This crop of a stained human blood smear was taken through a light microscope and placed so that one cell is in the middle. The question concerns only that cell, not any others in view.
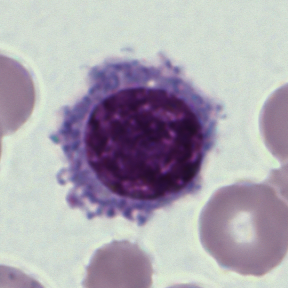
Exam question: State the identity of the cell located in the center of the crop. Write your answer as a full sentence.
The crop shows a plasma cell in its centre.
